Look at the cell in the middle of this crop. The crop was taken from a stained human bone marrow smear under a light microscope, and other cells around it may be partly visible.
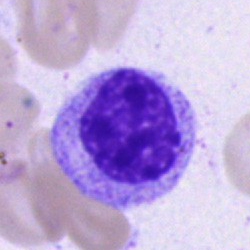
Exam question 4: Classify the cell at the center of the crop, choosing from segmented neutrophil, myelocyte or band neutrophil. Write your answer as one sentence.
The cell occupying the middle of the crop is a myelocyte.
